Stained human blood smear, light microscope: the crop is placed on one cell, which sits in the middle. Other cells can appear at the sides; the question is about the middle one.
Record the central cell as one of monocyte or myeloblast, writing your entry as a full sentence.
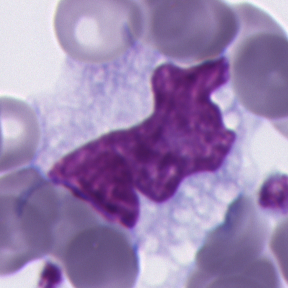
The cell marked by its central position in the crop is a monocyte.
